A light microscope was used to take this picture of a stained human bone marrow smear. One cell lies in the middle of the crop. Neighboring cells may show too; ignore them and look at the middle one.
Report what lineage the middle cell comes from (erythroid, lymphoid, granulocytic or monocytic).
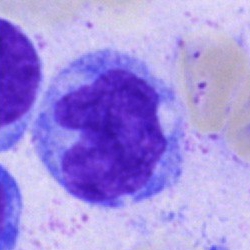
monocytic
